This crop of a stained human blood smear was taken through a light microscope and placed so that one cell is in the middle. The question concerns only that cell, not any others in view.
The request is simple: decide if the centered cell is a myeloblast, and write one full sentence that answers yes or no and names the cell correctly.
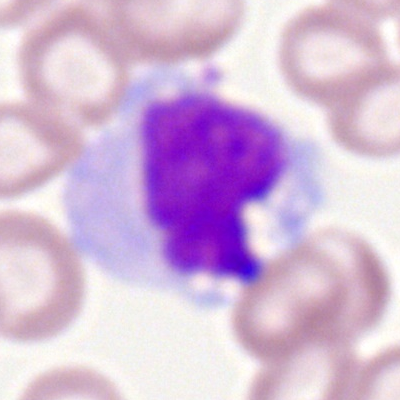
No, what sits in the centre of the crop is a monocyte rather than a myeloblast.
